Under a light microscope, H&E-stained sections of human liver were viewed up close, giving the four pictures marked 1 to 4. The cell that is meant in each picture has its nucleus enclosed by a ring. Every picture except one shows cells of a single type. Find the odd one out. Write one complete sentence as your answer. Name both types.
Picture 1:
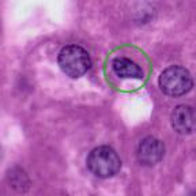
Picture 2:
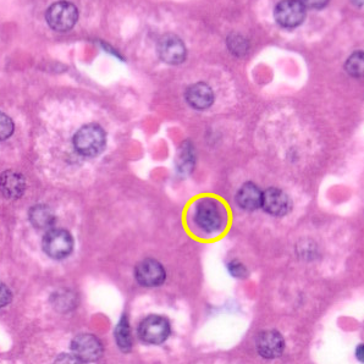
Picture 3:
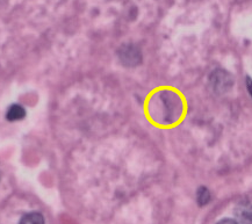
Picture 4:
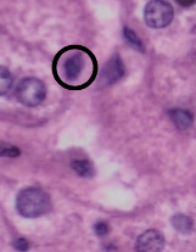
The others show “fibroblasts or stellate cells”, but picture 3 shows an endothelial cell.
